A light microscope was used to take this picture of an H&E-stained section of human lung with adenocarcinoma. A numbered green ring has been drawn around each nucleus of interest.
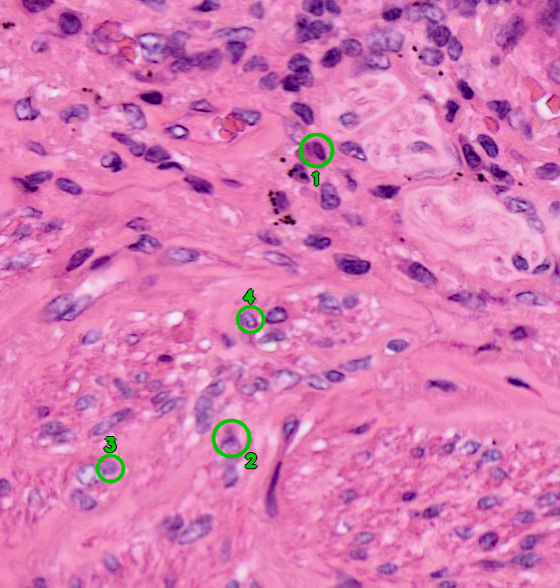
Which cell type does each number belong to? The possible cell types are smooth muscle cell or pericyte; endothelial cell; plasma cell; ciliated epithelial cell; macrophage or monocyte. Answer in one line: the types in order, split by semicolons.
plasma cell; smooth muscle cell or pericyte; smooth muscle cell or pericyte; smooth muscle cell or pericyte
